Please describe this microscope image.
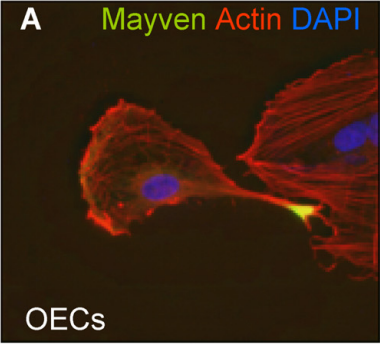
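From the body a long, thin process reaches to the right, and at its very end there is a small bright yellow-green spot where green and red overlap. Elsewhere the cell shows little green.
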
